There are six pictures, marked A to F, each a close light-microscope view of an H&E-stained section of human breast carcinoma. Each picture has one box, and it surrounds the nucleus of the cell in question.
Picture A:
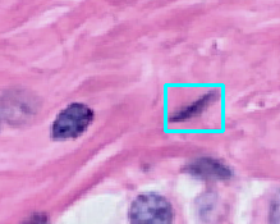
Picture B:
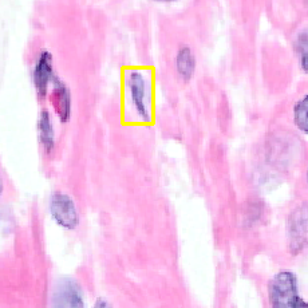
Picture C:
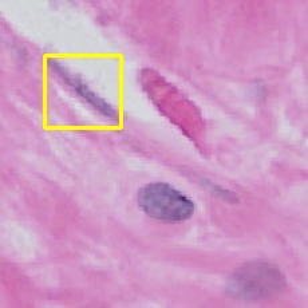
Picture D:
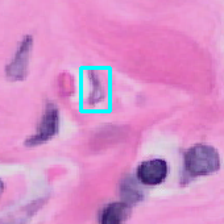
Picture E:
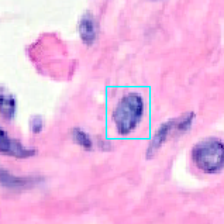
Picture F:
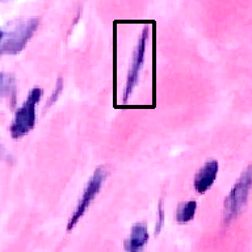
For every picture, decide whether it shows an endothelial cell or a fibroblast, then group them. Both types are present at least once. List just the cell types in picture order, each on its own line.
fibroblast
fibroblast
endothelial cell
endothelial cell
endothelial cell
fibroblast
